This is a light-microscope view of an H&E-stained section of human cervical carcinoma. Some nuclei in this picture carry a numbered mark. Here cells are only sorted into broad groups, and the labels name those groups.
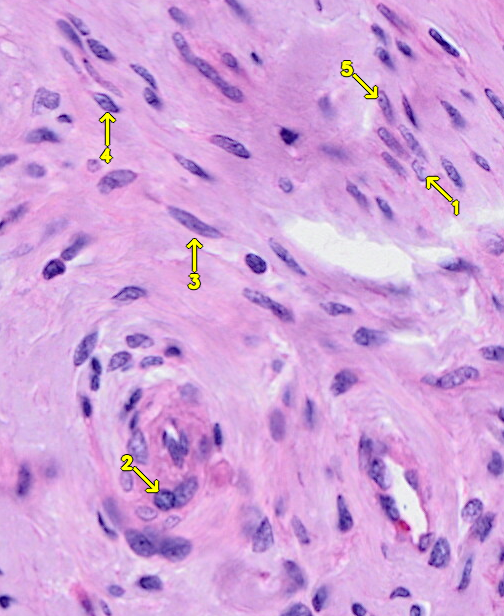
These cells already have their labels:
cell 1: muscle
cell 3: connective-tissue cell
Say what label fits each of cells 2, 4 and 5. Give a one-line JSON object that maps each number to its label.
{"2": "muscle", "4": "connective-tissue cell", "5": "muscle"}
